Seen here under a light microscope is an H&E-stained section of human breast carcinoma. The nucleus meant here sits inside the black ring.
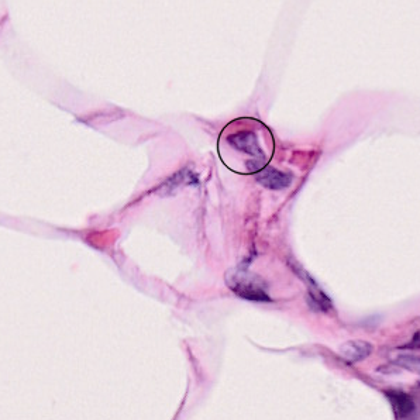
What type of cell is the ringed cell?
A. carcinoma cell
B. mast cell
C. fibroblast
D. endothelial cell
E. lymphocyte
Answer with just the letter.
D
